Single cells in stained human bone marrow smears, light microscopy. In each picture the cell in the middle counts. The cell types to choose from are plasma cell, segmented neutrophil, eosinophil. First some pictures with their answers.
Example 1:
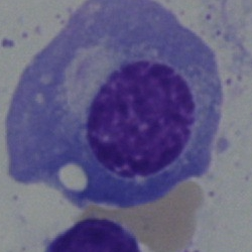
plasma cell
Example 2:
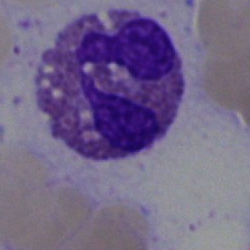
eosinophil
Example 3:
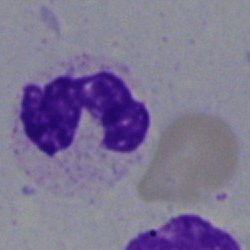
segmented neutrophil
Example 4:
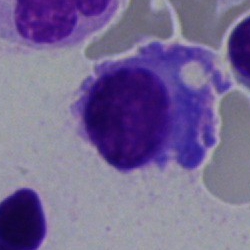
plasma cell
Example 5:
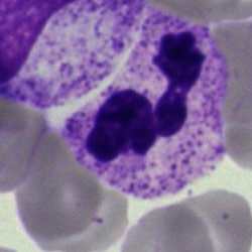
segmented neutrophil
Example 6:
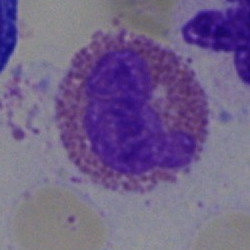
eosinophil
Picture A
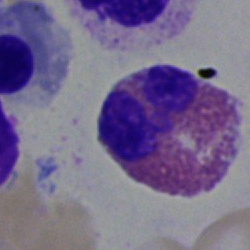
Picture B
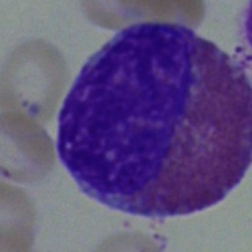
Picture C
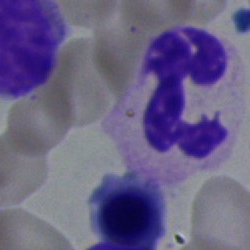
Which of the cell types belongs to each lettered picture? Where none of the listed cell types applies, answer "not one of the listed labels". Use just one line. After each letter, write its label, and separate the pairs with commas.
A eosinophil, B eosinophil, C segmented neutrophil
